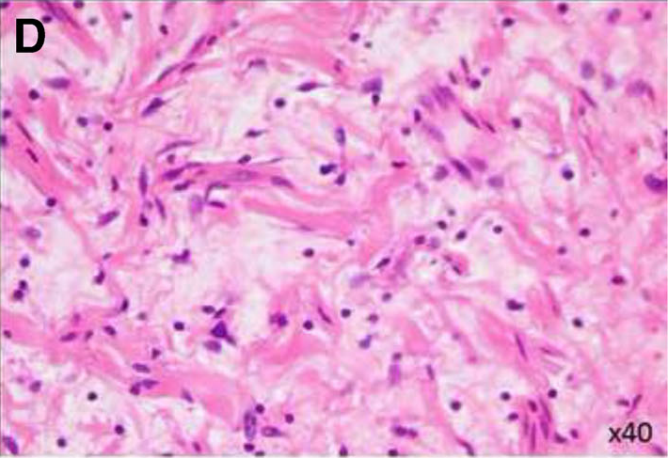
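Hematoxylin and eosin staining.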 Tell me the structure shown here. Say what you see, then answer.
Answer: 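Thick wavy bright pink bands run between the cells. The bands lie in a paler, loose pink background.
Answer: thick bands of collagen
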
